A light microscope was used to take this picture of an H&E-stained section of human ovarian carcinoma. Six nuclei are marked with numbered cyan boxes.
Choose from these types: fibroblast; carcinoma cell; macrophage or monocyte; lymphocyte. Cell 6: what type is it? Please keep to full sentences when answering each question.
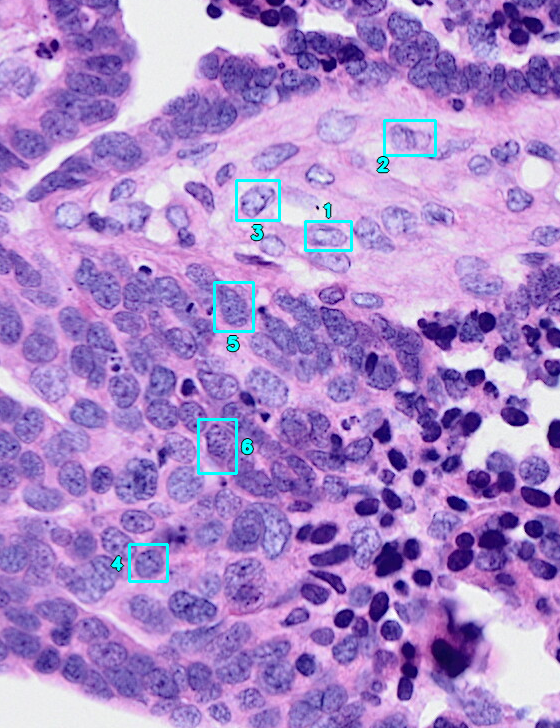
The expected answer is that cell 6 is a carcinoma cell.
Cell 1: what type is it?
The cell assigned the number 1 is a fibroblast.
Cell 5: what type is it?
In this section, the cell numbered 5 is a carcinoma cell.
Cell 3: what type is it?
Number 3 is placed on a fibroblast here.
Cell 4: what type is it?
The cell assigned the number 4 is a carcinoma cell.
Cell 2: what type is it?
Corresponding to a fibroblast is the cell labelled 2.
